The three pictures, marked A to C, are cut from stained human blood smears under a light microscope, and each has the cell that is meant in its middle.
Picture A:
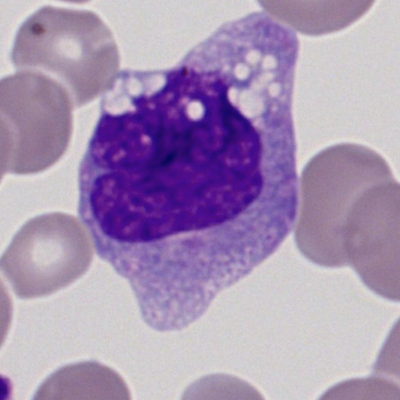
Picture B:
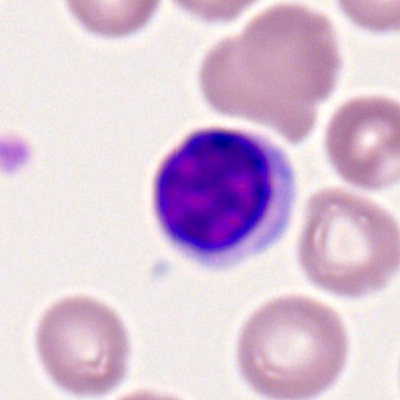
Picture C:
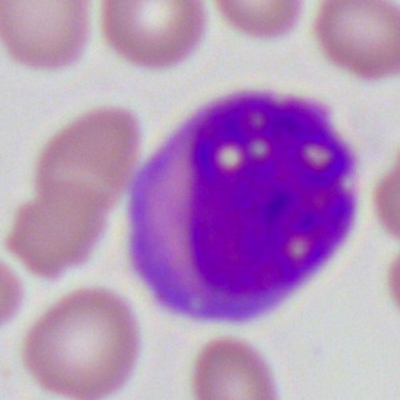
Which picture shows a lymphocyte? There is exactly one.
B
